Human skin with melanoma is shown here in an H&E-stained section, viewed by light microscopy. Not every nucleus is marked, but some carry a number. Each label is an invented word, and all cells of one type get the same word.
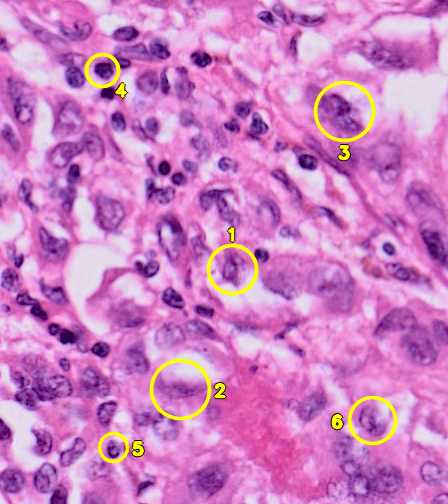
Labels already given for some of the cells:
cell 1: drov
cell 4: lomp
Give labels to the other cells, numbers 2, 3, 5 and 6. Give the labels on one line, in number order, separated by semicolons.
drov; drov; lomp; drov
